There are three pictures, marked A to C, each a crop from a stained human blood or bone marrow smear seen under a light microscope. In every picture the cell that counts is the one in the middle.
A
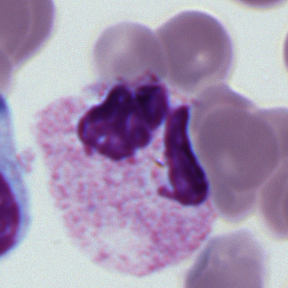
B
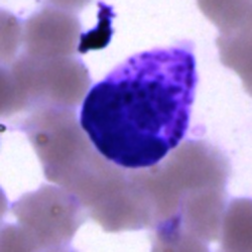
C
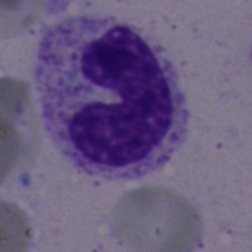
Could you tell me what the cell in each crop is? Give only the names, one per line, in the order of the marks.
segmented neutrophil
basophil
band neutrophil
